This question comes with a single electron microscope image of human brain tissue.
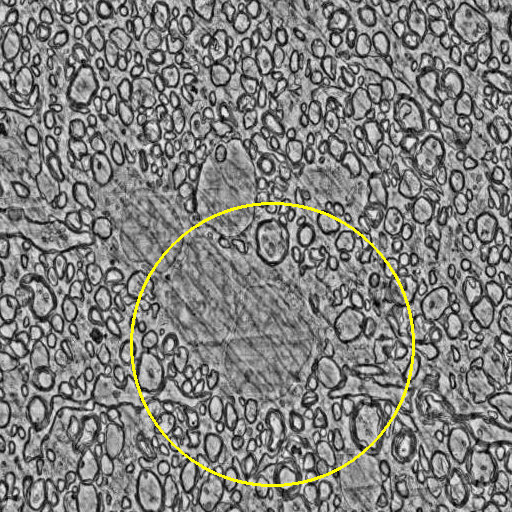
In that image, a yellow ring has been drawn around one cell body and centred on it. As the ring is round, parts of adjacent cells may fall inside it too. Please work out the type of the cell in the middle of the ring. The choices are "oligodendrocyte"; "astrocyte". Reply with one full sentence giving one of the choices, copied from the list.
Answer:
Of the choices, an oligodendrocyte is the cell sitting in the middle of the ring.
